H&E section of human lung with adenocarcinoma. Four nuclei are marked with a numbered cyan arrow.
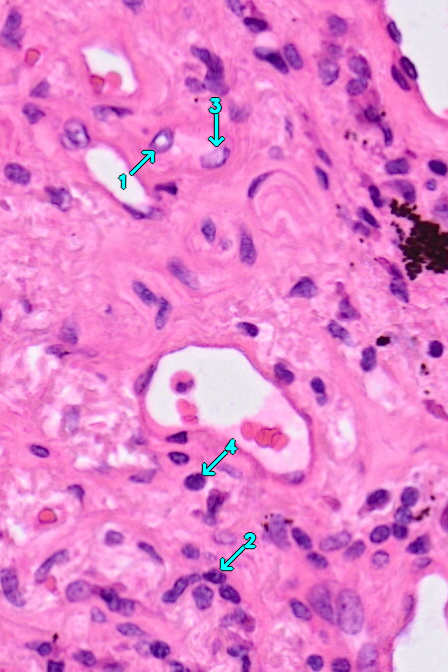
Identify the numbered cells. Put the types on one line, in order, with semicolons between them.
endothelial cell; lymphocyte; endothelial cell; lymphocyte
